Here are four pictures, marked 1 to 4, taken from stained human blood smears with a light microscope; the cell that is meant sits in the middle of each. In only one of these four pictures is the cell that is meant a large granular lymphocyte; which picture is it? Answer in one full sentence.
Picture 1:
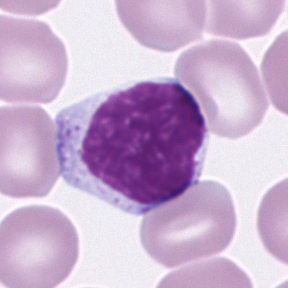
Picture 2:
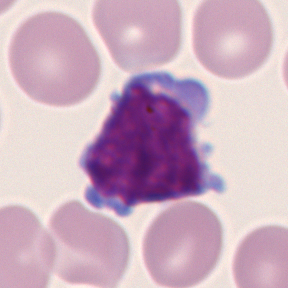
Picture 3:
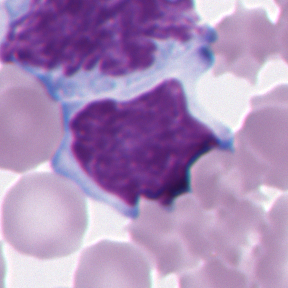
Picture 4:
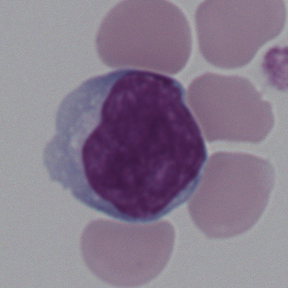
Picture 1 is the one that shows the large granular lymphocyte.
